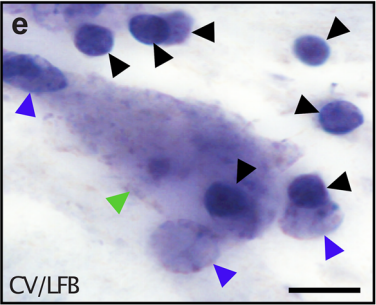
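The large cell has abundant pale purple, finely granular cytoplasm that tapers towards one side into a broad extension. Clustered around it and scattered nearby are small round cells with dark, densely stained round nuclei and only a thin rim of cytoplasm, typical of oligodendrocytes. A few other small profiles have paler, less compact nuclei. The background between the cells is pale and lightly stained.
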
